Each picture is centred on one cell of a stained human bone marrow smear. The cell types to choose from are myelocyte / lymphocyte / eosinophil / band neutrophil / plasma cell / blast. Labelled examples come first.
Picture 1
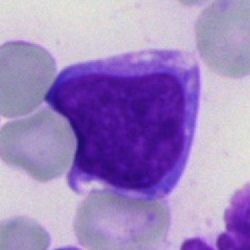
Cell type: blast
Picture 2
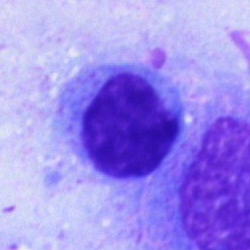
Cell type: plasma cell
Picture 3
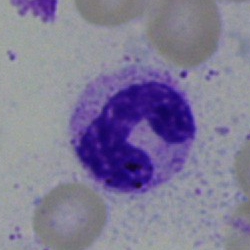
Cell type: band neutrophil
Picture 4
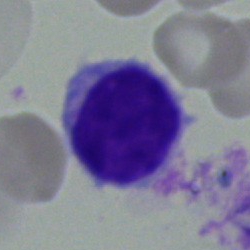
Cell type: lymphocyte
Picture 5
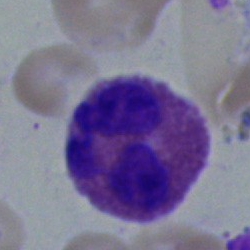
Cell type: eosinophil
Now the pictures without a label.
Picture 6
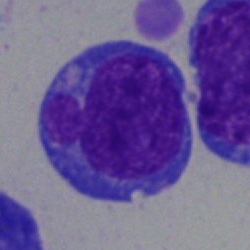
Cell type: blast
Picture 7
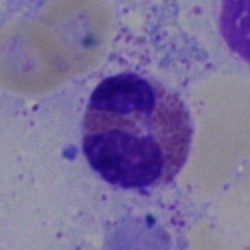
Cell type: eosinophil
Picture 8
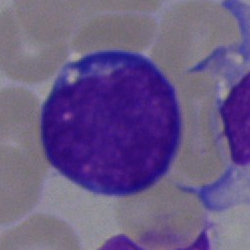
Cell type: blast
